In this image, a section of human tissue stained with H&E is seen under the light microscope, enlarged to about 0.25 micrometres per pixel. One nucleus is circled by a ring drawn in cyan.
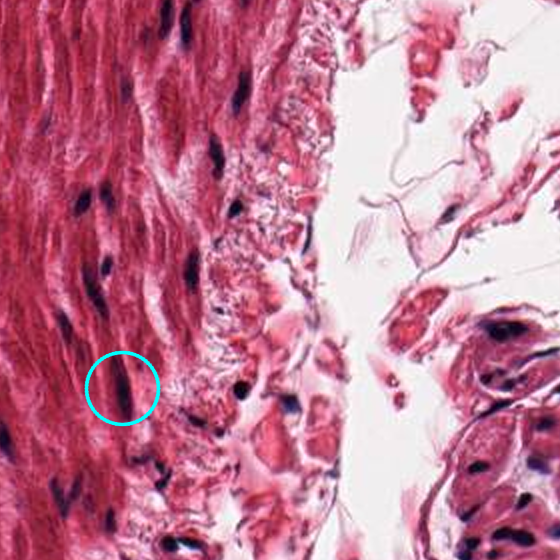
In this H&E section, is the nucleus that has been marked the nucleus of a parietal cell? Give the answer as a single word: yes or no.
no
